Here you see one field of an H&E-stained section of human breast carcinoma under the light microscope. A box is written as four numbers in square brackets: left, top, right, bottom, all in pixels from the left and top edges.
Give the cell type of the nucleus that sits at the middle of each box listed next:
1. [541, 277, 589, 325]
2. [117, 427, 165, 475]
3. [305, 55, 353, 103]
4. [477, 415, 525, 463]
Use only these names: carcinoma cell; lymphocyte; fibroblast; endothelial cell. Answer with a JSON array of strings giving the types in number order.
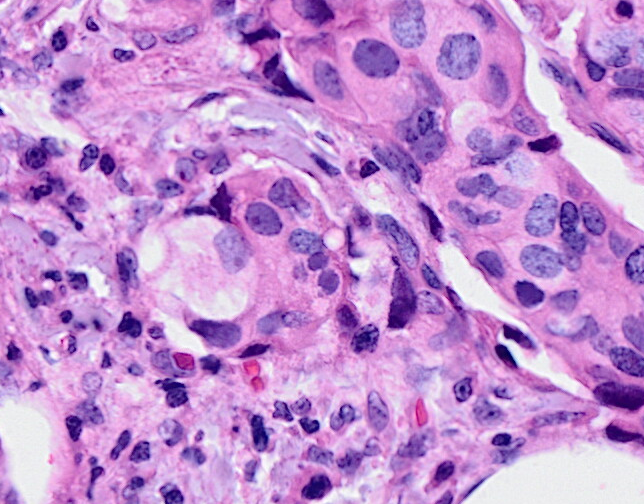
["carcinoma cell", "lymphocyte", "carcinoma cell", "lymphocyte"]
